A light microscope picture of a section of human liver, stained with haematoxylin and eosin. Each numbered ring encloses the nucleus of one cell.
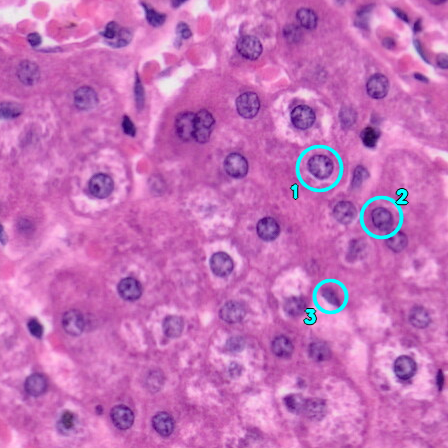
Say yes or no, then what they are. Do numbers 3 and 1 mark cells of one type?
No, cell 3 is an endothelial cell and cell 1 is a hepatocyte.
